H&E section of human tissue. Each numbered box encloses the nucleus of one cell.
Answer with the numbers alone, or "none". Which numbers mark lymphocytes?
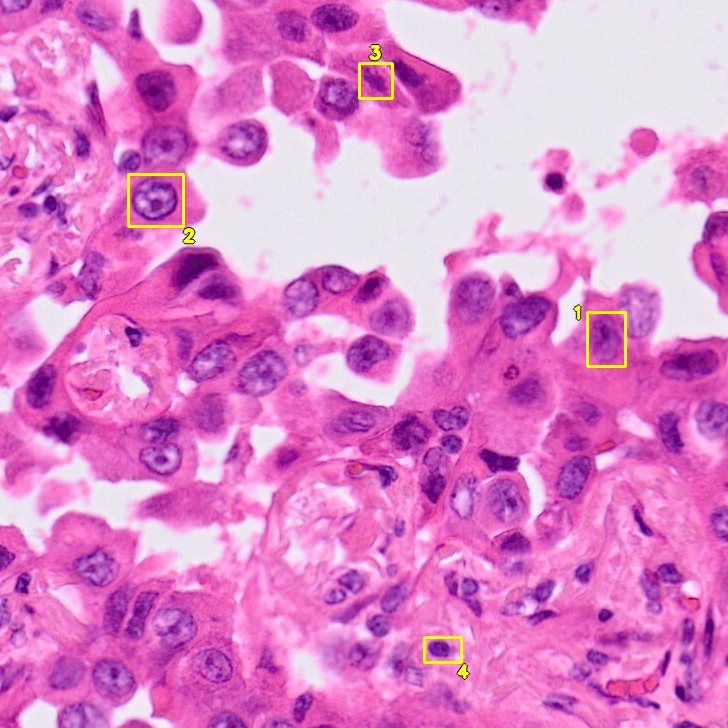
4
